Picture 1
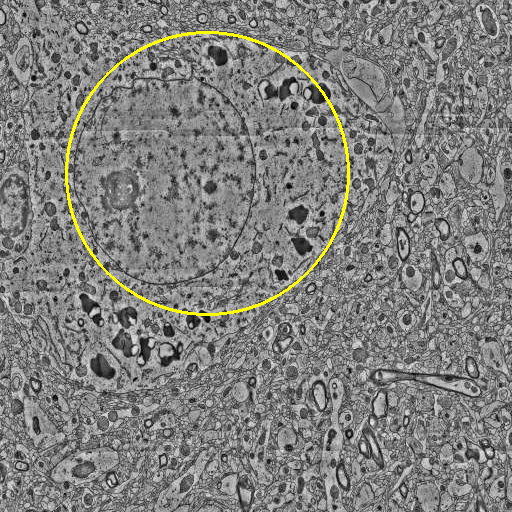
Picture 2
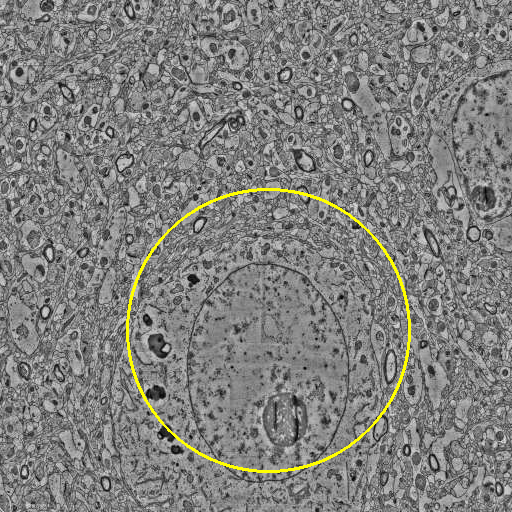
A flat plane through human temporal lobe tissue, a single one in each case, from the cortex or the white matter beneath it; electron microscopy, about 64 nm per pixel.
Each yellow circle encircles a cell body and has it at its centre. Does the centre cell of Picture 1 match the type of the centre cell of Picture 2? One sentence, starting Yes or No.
Yes, the cell centred in Picture 1 and the one in Picture 2 share a type.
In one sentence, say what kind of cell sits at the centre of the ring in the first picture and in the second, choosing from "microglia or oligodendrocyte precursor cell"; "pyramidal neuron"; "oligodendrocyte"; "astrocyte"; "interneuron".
In the first picture and in the second, the ring is centred on a pyramidal neuron.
